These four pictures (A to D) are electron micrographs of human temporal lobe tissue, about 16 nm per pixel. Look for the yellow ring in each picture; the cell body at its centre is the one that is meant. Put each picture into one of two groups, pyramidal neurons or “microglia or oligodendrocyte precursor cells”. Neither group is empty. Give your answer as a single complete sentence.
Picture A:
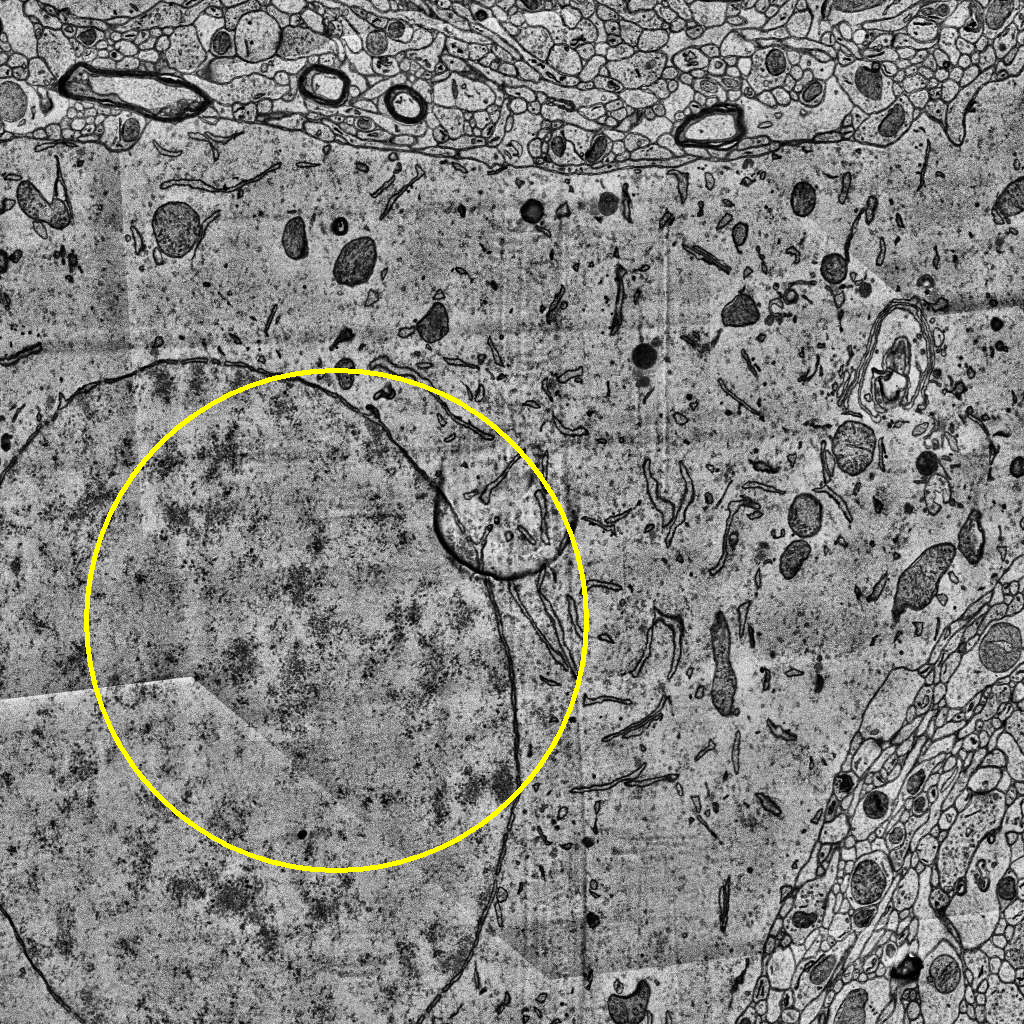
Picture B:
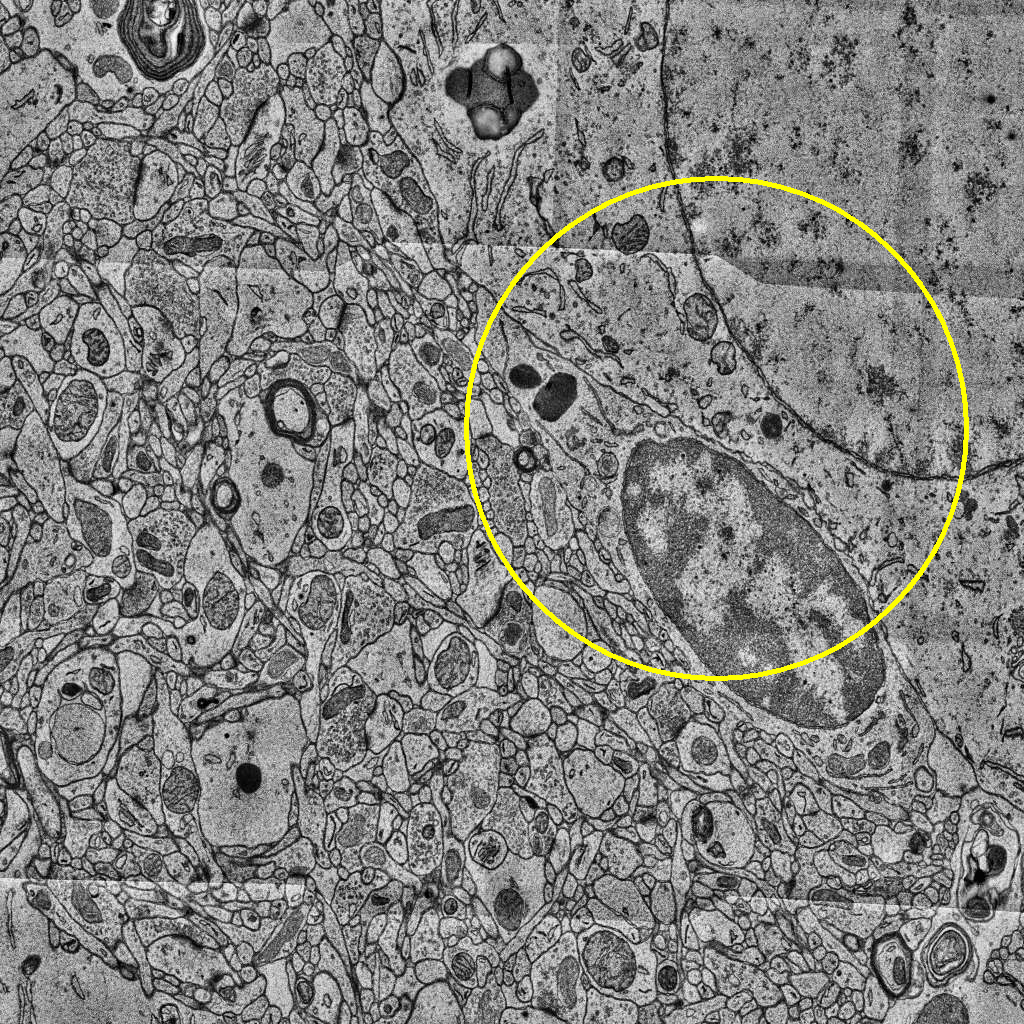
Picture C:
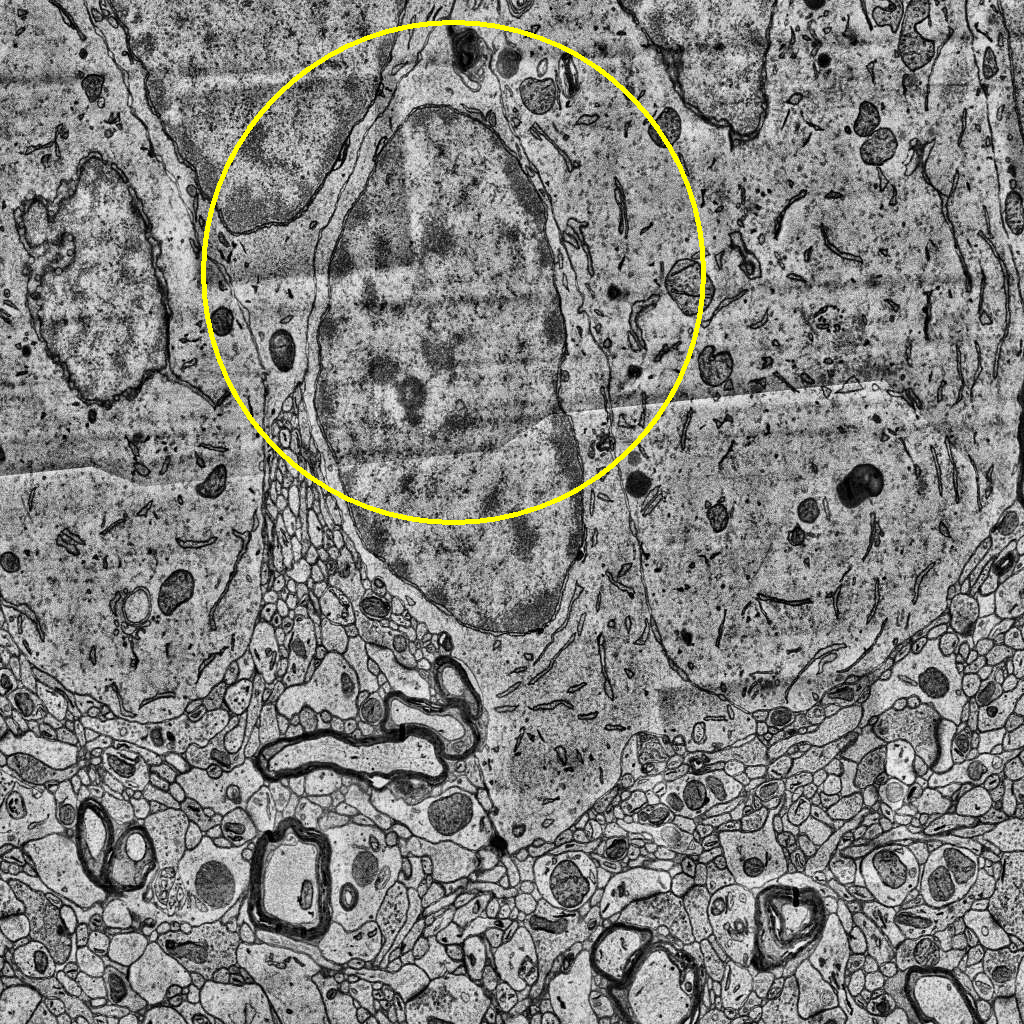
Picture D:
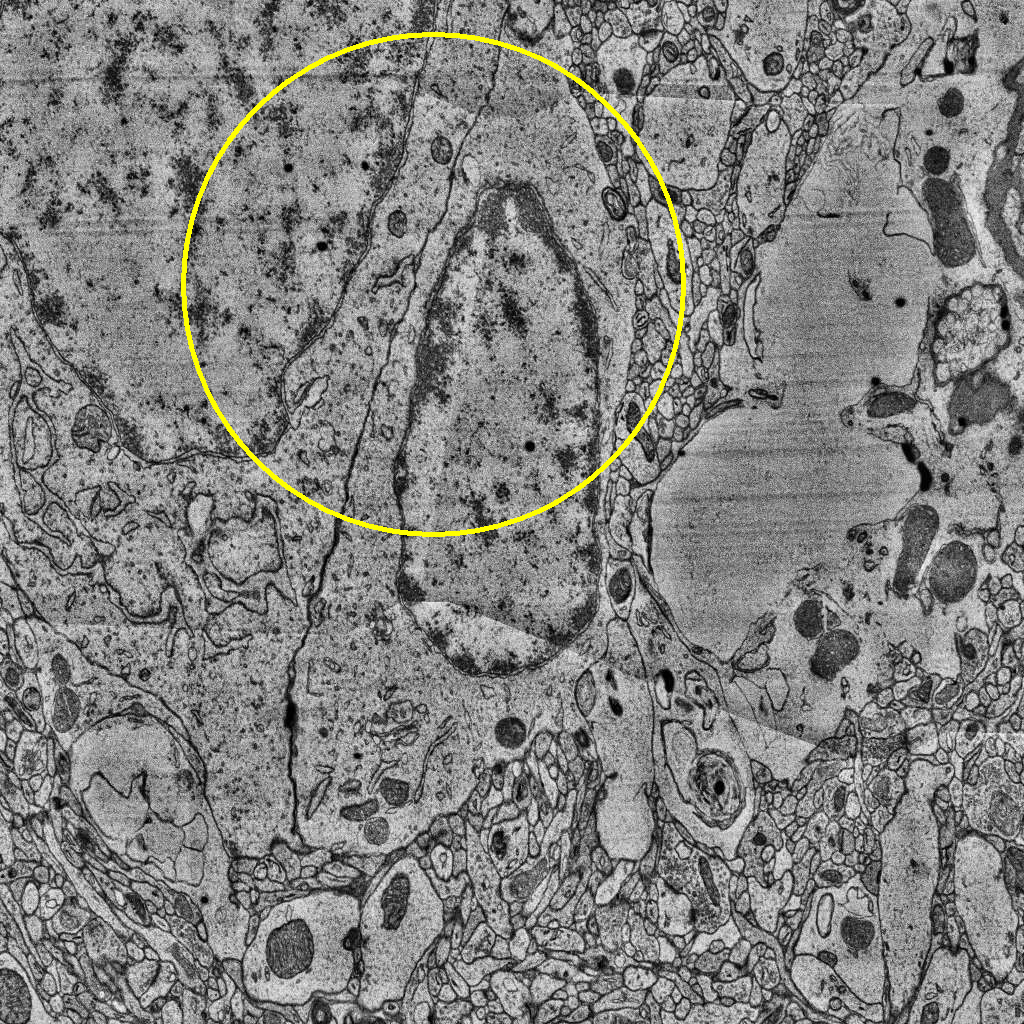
Picture A shows a pyramidal neuron, and pictures B, C and D show “microglia or oligodendrocyte precursor cells”.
